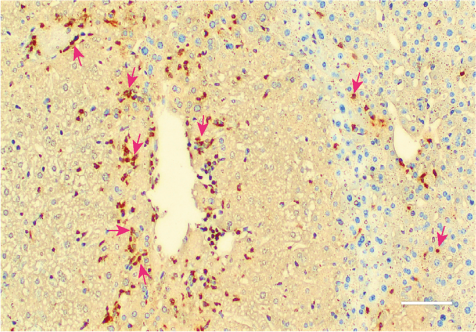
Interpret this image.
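This is liver tissue in which many small inflammatory cells, stained brown, have gathered around a large vessel and along the spaces between the hepatocytes. The hepatocytes are large polygonal cells with round, blue-stained nuclei and pale cytoplasm. The brown cells are far smaller than the hepatocytes and crowd densely along the vessel wall, with fewer scattered farther out in the tissue. Part of the field, to one side, is paler and bluish, while the rest carries a diffuse tan tint.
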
